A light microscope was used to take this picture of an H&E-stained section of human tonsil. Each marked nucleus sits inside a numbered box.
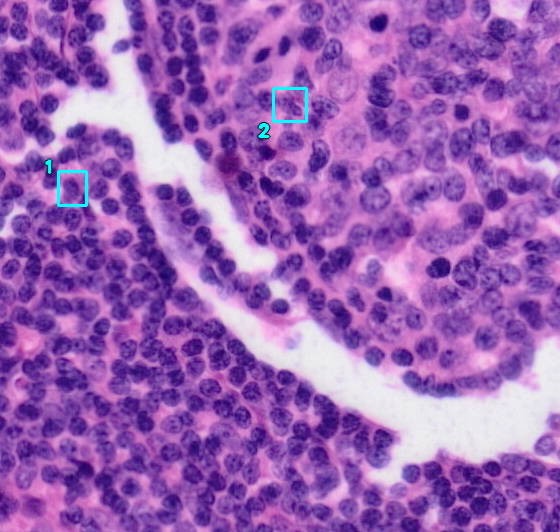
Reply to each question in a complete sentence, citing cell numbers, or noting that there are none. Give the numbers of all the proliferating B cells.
Cell 2 is the single numbered cell that is a proliferating B cell.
